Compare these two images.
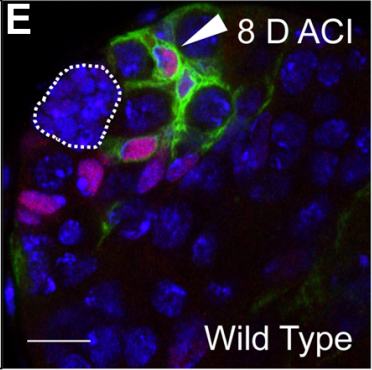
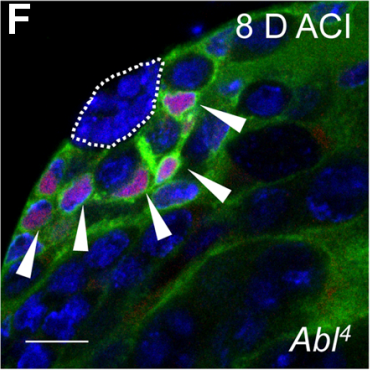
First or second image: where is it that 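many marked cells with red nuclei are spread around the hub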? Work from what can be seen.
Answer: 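The second image. Second image: numerous green-outlined cells with red nuclei line the tip around the dashed outline. First image: only a small group of green-outlined cells lies beside the outline.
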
